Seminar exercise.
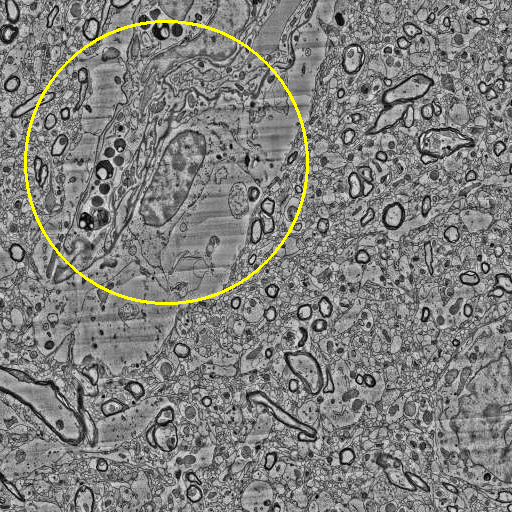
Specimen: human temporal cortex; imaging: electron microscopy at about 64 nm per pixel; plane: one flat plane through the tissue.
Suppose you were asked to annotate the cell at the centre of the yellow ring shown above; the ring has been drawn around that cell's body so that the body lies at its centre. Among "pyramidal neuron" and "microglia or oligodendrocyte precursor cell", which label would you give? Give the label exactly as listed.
microglia or oligodendrocyte precursor cell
